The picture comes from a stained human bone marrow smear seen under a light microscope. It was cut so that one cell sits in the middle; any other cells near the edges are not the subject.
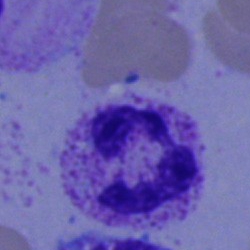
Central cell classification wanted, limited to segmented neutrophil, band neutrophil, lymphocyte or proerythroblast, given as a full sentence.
Here the cell in the middle is a segmented neutrophil.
